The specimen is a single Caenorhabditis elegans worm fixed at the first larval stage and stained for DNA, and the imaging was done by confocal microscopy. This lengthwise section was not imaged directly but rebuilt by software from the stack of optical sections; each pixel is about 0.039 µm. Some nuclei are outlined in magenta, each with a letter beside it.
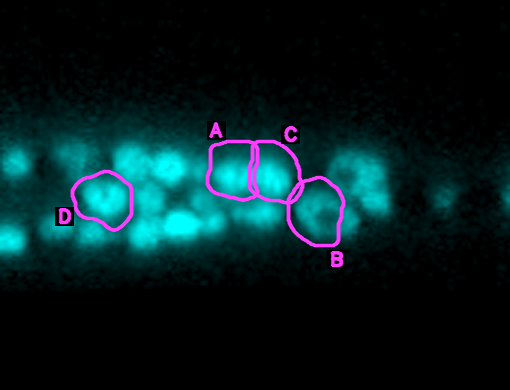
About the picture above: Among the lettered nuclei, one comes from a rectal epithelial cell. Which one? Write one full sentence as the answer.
Of the marked nuclei, D is the one in a rectal epithelial cell.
